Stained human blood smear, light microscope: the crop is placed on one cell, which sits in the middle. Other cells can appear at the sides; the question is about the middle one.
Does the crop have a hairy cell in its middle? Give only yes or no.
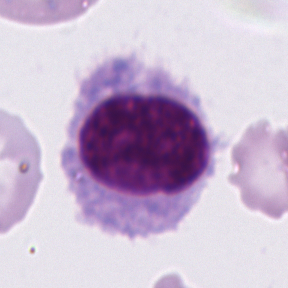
yes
